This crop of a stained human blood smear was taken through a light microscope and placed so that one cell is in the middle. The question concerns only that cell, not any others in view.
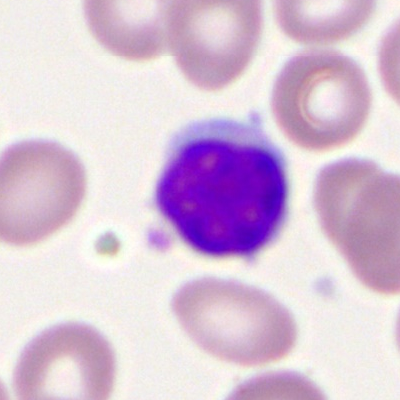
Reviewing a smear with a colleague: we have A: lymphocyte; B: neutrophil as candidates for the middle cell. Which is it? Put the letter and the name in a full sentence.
With the cell in the middle being a lymphocyte, option A is the correct choice.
